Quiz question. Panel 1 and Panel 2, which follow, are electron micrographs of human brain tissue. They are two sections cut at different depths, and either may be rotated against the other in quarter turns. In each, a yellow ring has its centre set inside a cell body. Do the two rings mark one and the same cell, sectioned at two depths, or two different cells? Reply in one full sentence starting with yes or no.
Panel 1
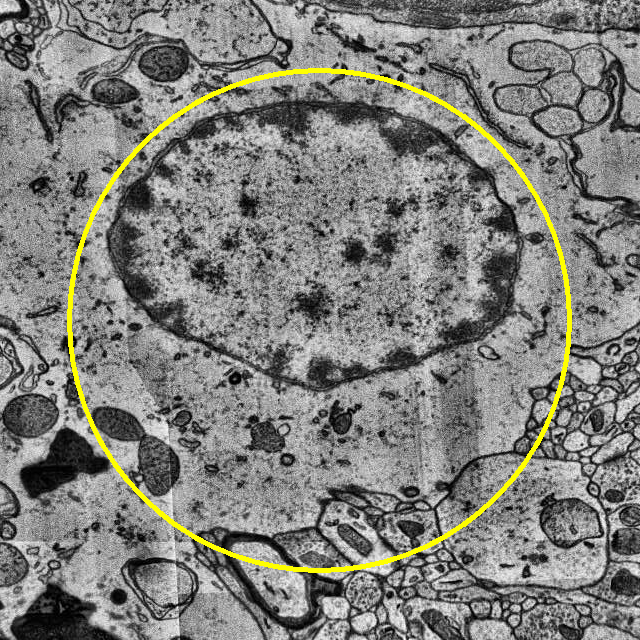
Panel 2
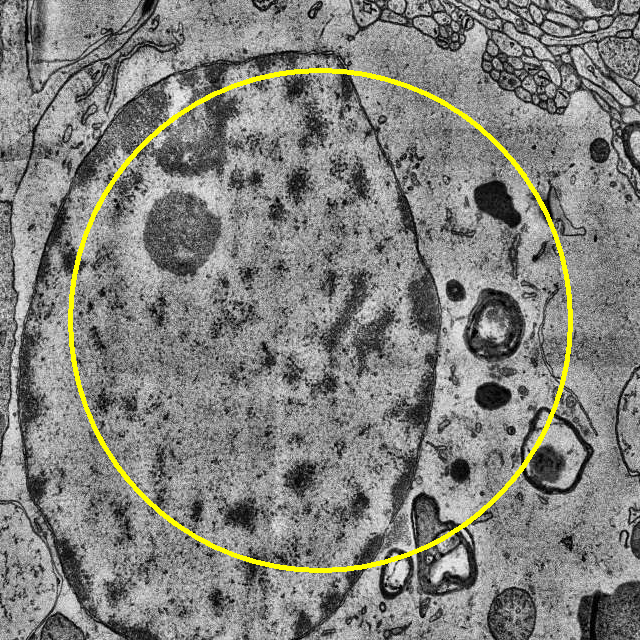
Yes, both yellow rings mark one and the same cell.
